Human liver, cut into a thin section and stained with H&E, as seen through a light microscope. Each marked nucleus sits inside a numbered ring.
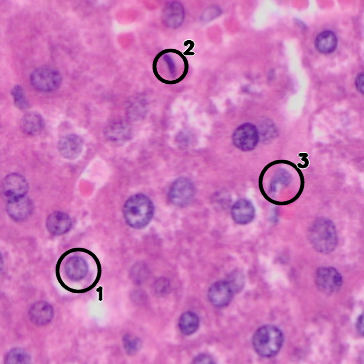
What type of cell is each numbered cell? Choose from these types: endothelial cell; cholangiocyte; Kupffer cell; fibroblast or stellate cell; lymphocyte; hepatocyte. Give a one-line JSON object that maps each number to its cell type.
{"1": "hepatocyte", "2": "fibroblast or stellate cell", "3": "endothelial cell"}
